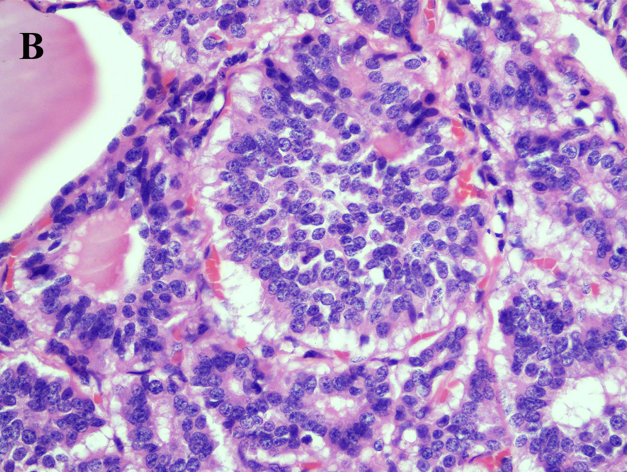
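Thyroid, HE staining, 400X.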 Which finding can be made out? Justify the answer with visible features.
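Nests and trabeculae of crowded, fairly uniform tumour cells. Round to oval nuclei with finely granular chromatin. Rosette-like and gland-like arrangements around small lumina. Thin, delicate vascular stroma between nests. The answer: neuroendocrine tumor.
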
